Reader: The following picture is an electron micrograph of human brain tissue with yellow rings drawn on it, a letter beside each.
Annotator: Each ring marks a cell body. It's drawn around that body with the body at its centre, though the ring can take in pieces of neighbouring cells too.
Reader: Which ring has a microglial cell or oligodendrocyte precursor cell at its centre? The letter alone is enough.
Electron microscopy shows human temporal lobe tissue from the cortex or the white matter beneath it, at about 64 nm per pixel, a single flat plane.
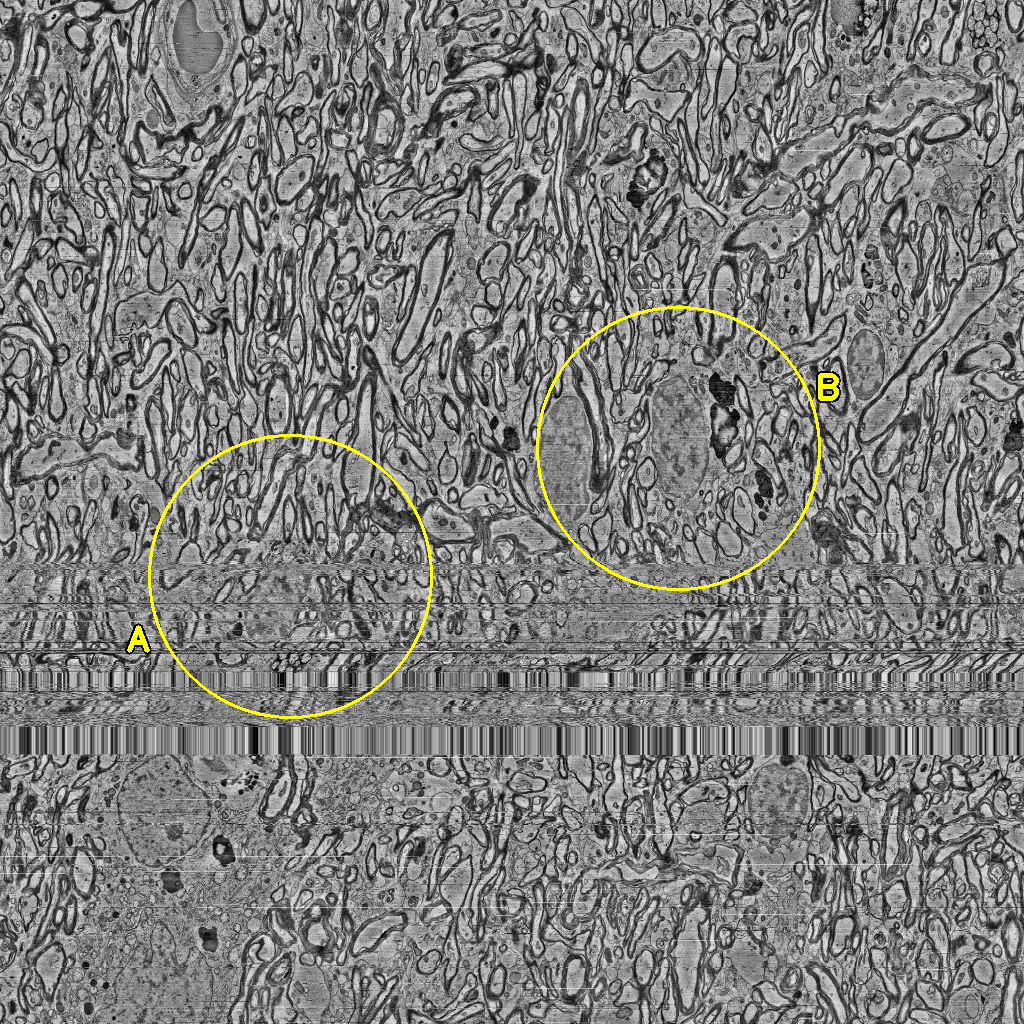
A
